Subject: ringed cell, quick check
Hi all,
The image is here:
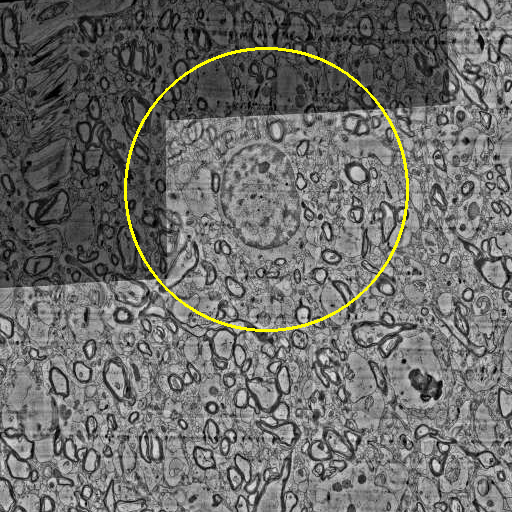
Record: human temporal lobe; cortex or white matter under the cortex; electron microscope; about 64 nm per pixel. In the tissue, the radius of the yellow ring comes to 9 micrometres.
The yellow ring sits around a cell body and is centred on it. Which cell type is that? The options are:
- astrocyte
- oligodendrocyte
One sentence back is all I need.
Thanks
That ringed cell is an oligodendrocyte.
